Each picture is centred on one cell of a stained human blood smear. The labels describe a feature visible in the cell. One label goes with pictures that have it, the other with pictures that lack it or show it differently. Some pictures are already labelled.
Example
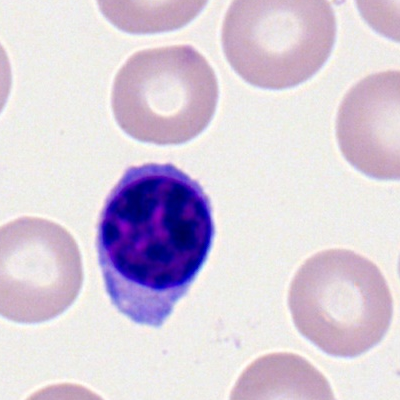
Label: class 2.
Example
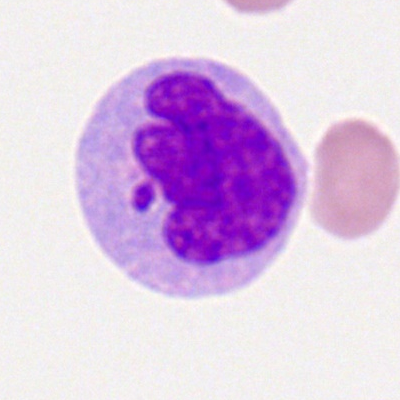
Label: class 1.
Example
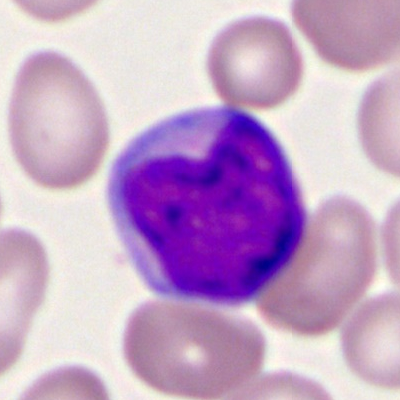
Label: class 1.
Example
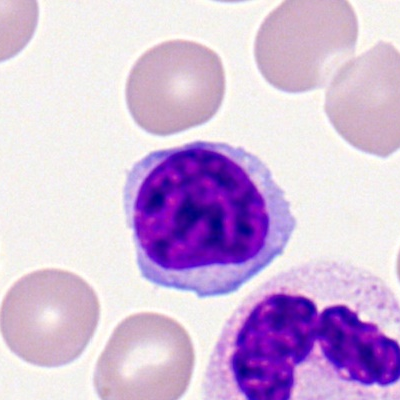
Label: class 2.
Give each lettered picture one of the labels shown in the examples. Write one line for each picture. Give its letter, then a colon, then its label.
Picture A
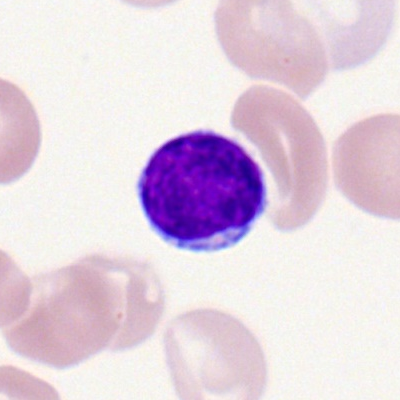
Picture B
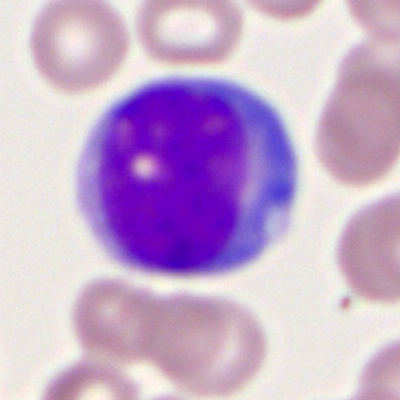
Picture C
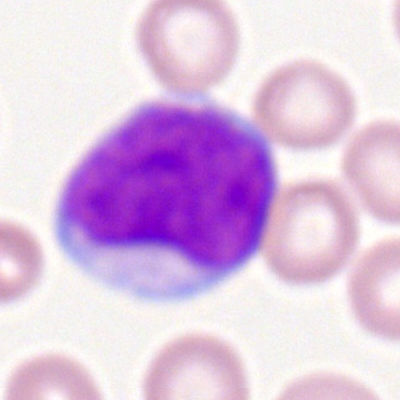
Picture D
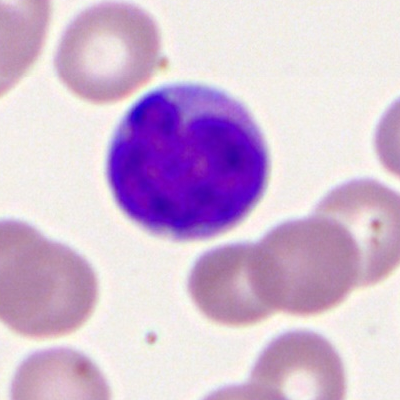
A: class 1.
B: class 1.
C: class 1.
D: class 1.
